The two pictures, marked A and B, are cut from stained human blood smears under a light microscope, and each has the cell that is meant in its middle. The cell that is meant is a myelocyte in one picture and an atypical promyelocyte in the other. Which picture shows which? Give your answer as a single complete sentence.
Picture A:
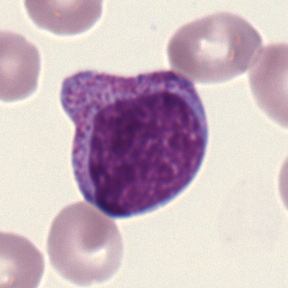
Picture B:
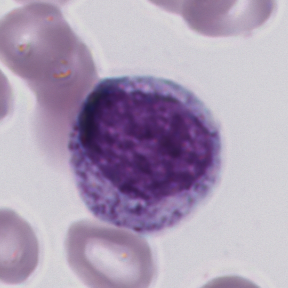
Picture A is of an atypical promyelocyte, and picture B is of a myelocyte.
